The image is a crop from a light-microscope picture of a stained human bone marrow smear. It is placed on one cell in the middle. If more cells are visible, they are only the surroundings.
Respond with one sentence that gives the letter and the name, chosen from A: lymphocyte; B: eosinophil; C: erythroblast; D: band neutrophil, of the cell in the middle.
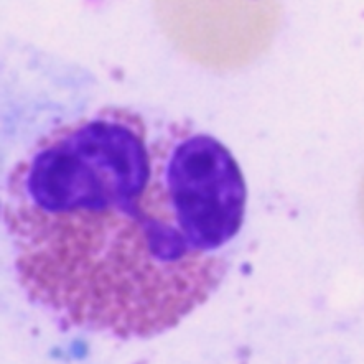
Well, the cell in the middle is an eosinophil, making option B right.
